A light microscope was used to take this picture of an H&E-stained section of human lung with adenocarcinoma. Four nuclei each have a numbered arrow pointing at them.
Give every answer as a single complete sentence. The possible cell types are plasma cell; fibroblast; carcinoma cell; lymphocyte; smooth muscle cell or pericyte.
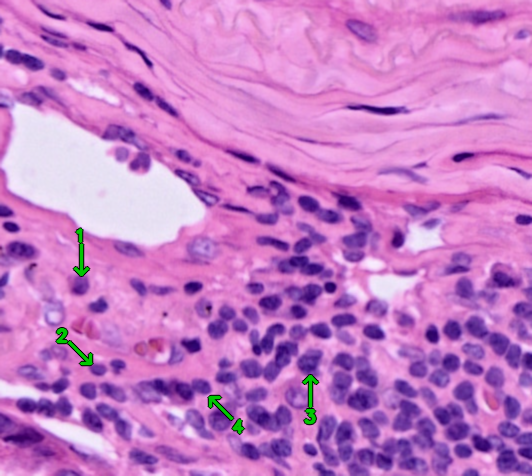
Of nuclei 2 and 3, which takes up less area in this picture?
It is nucleus 2; nucleus 3 has about 2 times its area.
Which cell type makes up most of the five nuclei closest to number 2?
The majority of the five nuclei closest to number 2 belong to lymphocytes.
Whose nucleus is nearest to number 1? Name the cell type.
The nearest nucleus to number 1 belongs to a lymphocyte.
